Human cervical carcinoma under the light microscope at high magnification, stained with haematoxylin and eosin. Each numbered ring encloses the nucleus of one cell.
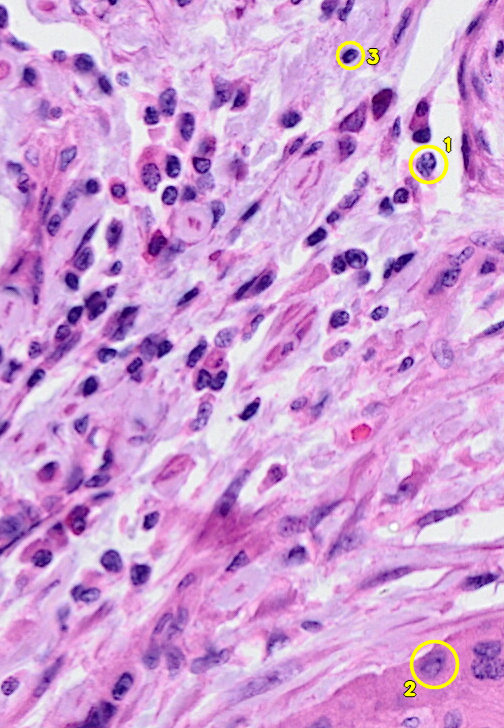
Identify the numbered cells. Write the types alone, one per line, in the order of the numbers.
lymphocyte
squamous carcinoma cell
lymphocyte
